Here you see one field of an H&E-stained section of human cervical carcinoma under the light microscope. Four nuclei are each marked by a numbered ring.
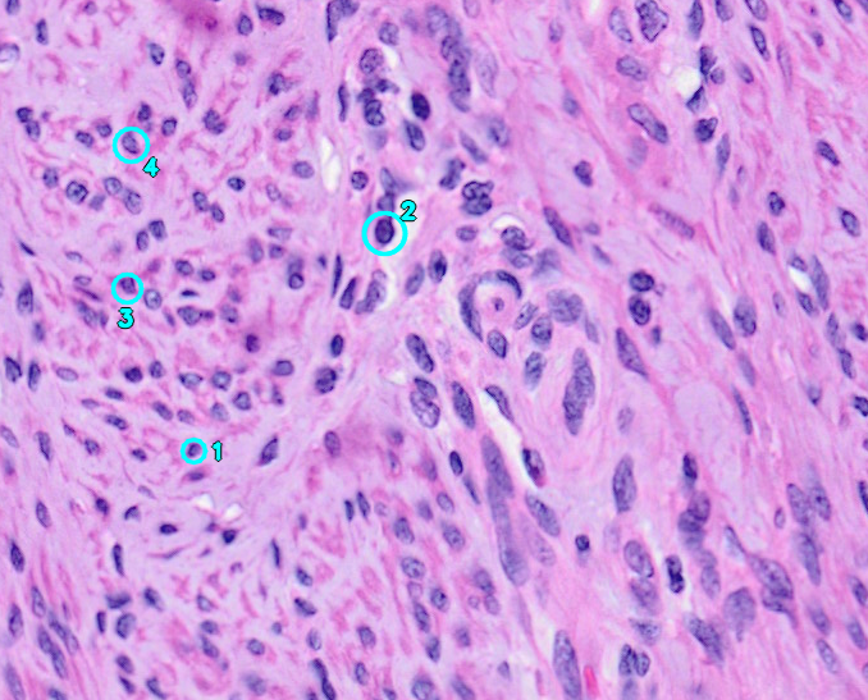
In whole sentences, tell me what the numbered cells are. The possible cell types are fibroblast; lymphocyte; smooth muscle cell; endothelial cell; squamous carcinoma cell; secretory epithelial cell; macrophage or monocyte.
Cell 1 is a smooth muscle cell, cell 2 is a lymphocyte, cell 3 is a smooth muscle cell and cell 4 is a smooth muscle cell.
